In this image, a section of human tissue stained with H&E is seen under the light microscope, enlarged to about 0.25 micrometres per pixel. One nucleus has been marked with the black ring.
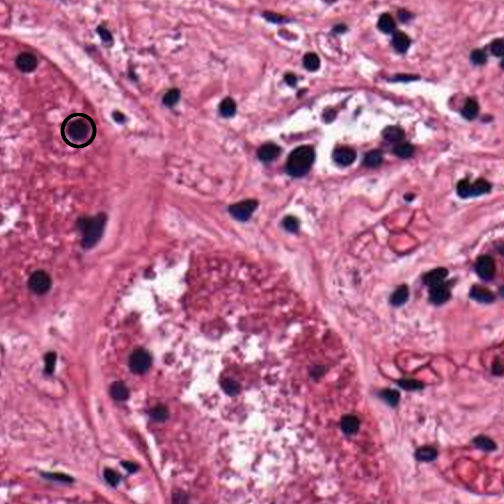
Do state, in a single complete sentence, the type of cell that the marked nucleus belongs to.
The marked nucleus, in this picture, belongs to a proximal tubule cell.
